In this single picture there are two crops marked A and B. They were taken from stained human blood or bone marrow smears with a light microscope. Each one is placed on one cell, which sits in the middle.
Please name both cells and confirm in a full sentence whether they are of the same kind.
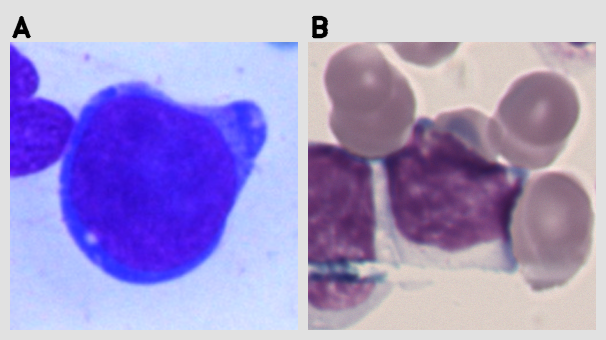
Yes, the central cells in both of the crops are blasts.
